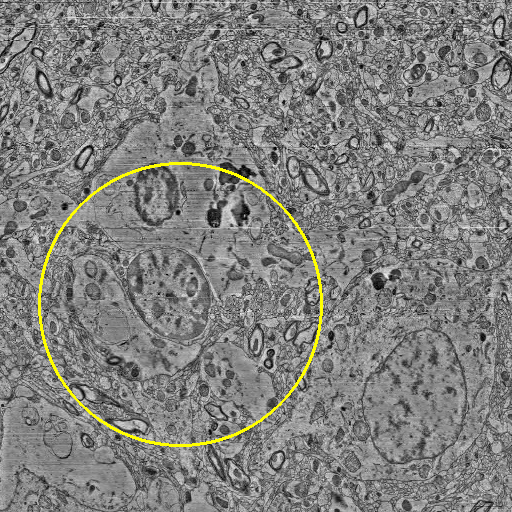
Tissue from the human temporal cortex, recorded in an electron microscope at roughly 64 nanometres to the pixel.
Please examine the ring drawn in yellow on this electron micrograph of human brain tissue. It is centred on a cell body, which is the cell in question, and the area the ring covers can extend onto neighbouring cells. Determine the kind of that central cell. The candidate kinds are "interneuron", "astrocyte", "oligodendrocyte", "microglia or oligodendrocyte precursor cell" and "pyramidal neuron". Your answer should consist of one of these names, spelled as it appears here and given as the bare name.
microglia or oligodendrocyte precursor cell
